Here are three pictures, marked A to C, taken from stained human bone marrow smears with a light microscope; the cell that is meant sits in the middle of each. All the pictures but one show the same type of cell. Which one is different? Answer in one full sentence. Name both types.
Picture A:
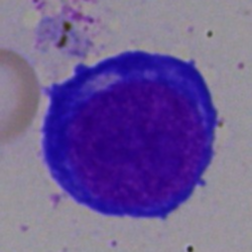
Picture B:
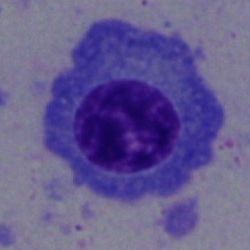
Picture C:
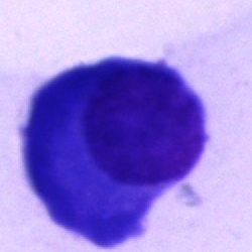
The others show plasma cells, but picture A shows a proerythroblast.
